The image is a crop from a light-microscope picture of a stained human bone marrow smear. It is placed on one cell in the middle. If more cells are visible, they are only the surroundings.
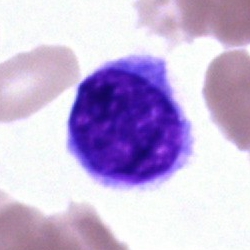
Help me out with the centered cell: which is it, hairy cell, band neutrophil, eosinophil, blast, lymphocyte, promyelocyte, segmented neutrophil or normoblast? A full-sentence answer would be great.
In short, the cell at the center is a hairy cell.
